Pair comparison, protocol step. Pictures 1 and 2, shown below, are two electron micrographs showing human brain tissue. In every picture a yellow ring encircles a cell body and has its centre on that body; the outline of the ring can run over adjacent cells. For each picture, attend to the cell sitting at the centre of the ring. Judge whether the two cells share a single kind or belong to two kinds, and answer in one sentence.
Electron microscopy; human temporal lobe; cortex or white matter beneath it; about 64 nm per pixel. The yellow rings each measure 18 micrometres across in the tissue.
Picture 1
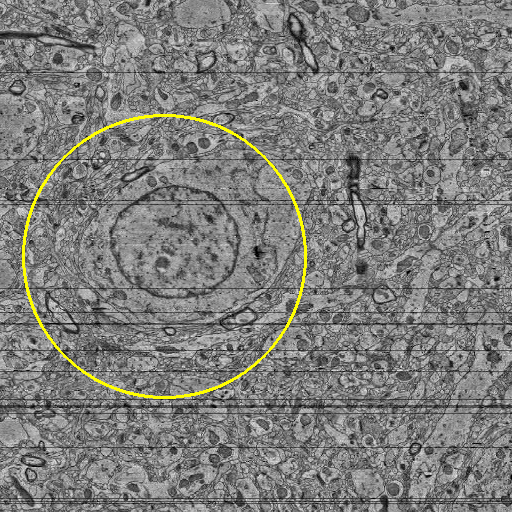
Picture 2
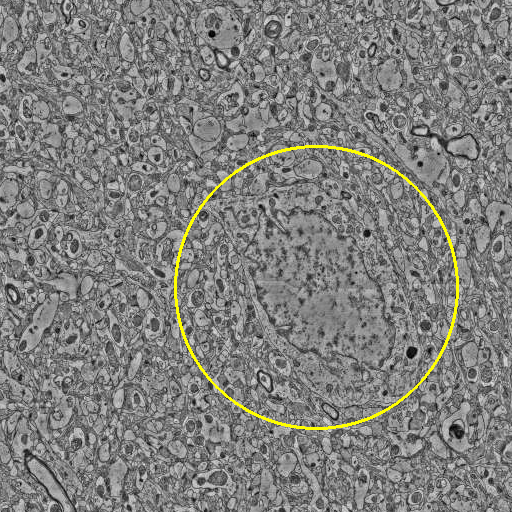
The two cells at the ring centres in Picture 1 and Picture 2 belong to two kinds.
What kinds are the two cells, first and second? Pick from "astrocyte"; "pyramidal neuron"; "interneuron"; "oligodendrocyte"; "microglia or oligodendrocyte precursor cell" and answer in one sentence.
The second picture holds an interneuron in its ring, and the first holds a pyramidal neuron.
